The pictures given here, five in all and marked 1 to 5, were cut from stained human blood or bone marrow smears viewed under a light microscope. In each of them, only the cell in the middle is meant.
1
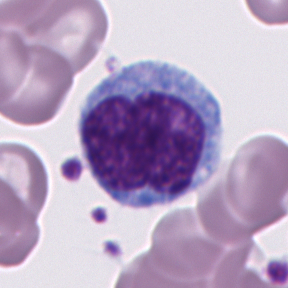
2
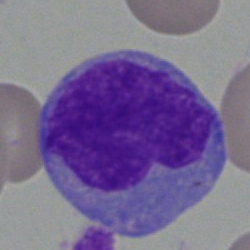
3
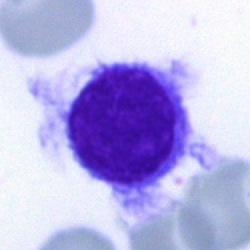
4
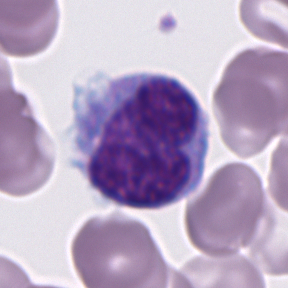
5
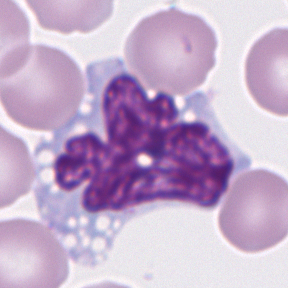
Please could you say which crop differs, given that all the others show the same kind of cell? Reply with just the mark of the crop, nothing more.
3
